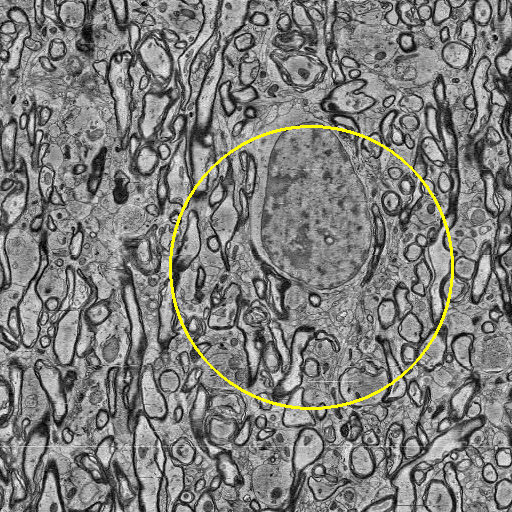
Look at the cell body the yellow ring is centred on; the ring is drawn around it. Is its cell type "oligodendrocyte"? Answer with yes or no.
No, its cell type is another.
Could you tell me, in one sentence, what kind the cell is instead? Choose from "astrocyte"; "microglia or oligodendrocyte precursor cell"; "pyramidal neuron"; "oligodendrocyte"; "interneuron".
Instead, the cell at the centre of the yellow ring is a microglial cell or oligodendrocyte precursor cell.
